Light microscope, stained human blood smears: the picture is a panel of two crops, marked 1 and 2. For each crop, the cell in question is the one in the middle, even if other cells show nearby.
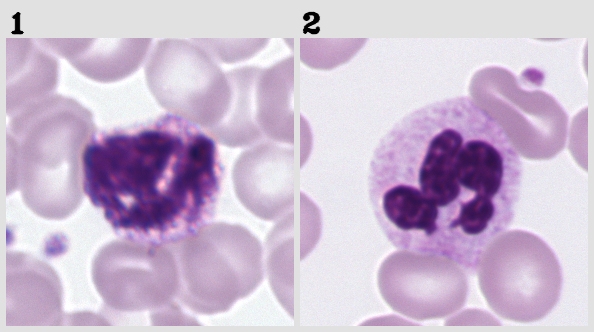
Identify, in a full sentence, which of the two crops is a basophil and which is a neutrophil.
Recognised in crop 1 is a basophil, and recognised in crop 2 is a neutrophil.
